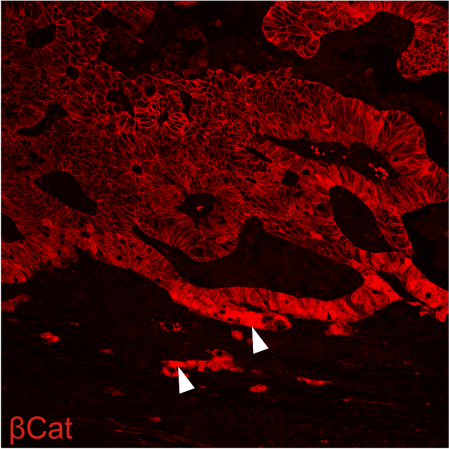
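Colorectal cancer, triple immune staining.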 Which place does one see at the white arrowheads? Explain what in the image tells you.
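The arrowheads point to small red-stained cell clusters lying below the main epithelial mass. These clusters sit in the stroma at the border of the glandular tumor tissue.
Tumor edge.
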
